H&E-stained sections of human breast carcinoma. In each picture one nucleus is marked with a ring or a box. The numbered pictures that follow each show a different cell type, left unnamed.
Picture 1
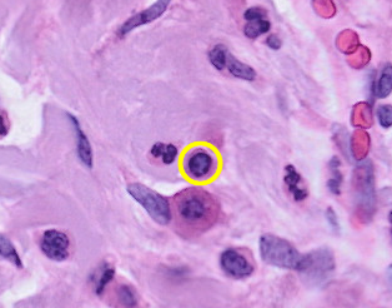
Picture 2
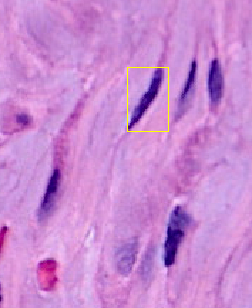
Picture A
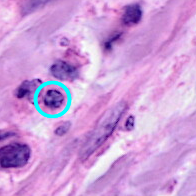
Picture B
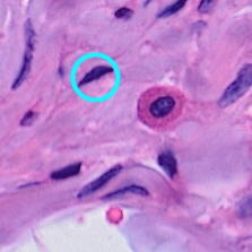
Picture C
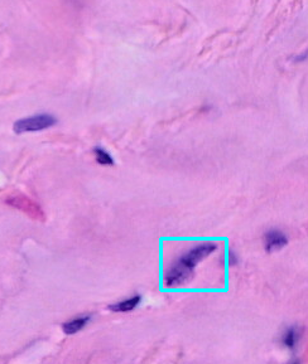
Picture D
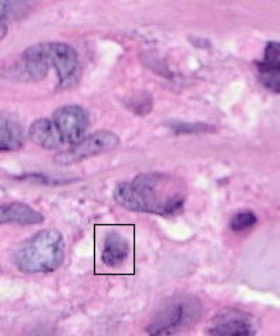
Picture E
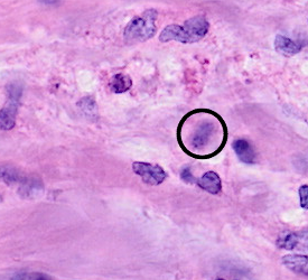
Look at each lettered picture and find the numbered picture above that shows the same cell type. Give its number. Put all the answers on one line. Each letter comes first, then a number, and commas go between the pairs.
A 1, B 2, C 2, D 1, E 1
